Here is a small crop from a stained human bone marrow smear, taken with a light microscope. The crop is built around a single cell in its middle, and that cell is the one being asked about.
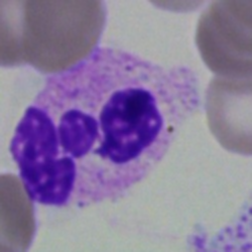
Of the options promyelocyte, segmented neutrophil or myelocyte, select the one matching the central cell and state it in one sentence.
As for the central cell, it is a segmented neutrophil.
